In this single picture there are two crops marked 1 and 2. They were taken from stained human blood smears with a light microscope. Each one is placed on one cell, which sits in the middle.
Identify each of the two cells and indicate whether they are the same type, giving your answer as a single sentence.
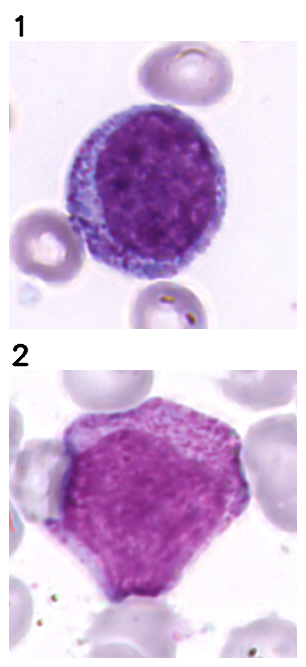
No, the middle of crop 1 holds a promyelocyte, and the middle of crop 2 holds a myelocyte.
